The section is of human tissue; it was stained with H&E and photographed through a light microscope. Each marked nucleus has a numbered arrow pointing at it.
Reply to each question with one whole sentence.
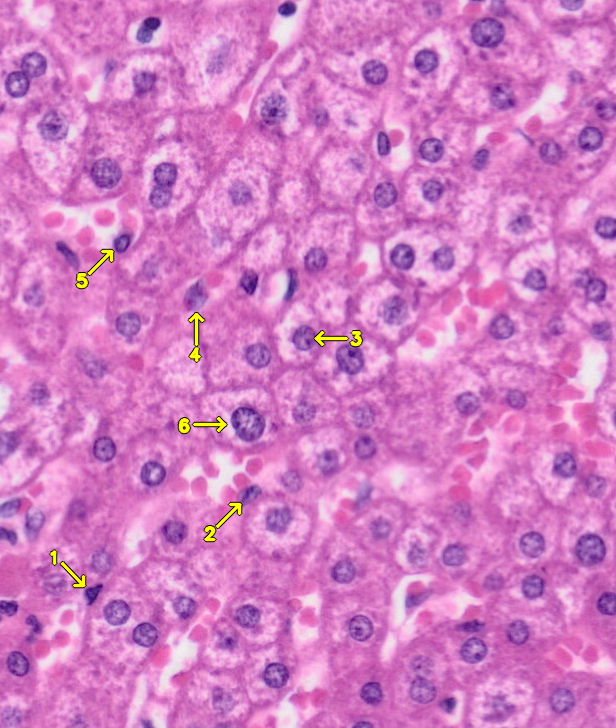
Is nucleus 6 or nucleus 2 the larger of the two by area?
Nucleus 6 is larger, with an area about 3 times that of nucleus 2.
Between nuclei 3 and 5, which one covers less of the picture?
It is nucleus 5; nucleus 3 has about 2 times its area.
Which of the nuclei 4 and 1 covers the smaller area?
With nucleus 4 about 2 times its size, nucleus 1 is the smaller of the two.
